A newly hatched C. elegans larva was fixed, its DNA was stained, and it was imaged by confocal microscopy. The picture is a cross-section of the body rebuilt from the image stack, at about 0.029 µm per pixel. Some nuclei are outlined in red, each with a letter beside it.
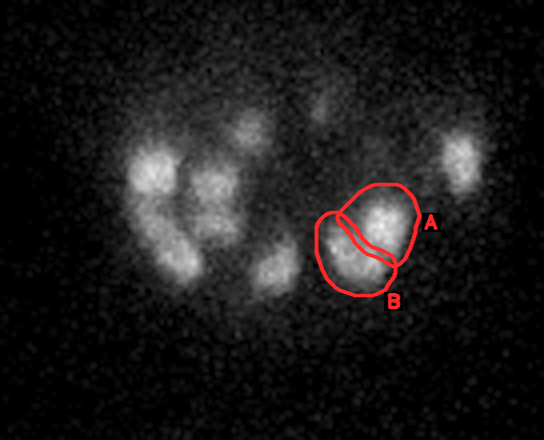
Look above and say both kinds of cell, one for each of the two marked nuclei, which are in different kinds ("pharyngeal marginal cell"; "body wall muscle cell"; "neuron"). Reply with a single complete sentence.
The nucleus A is that of a neuron, while B is that of a pharyngeal marginal cell.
